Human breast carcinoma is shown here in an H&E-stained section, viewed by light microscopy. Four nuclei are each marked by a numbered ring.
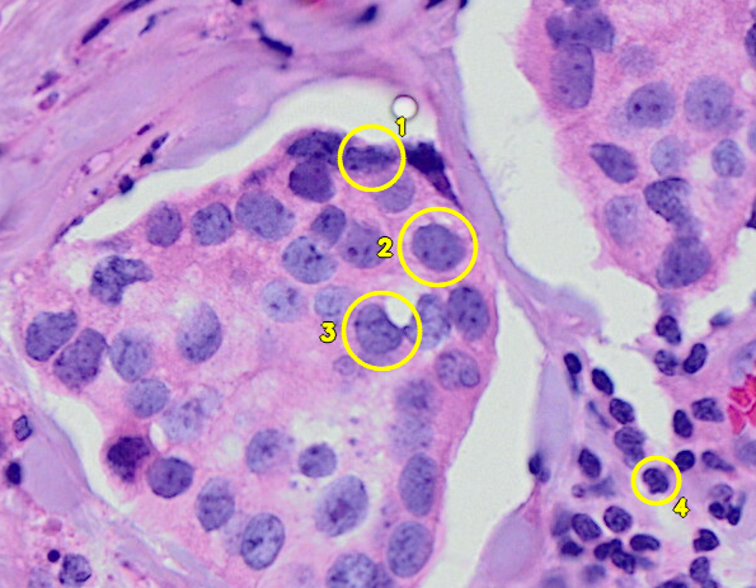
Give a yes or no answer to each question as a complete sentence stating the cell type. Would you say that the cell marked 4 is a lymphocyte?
Yes, the cell sitting at number 4 is a lymphocyte.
